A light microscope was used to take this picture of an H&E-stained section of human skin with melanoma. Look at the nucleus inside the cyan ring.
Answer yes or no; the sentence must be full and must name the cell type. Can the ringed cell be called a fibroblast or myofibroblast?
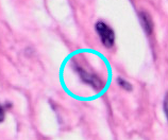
Yes, the ringed cell corresponds to a fibroblast or myofibroblast in this tissue.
